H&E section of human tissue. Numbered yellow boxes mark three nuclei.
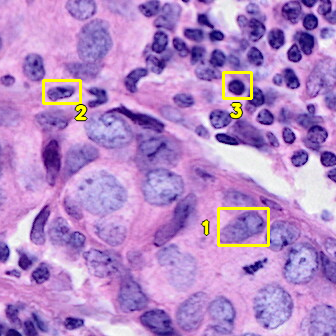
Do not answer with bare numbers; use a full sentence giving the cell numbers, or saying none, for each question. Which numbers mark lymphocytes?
The cells given the numbers 2 and 3 are lymphocytes.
